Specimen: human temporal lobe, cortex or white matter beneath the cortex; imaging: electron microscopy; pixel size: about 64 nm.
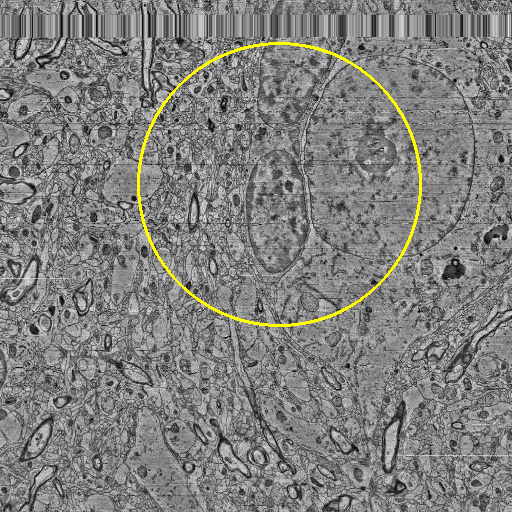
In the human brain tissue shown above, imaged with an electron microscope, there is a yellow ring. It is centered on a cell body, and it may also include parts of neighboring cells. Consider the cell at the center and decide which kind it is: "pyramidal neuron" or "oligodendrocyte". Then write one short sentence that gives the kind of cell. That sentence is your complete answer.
This centered cell body is that of an oligodendrocyte.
